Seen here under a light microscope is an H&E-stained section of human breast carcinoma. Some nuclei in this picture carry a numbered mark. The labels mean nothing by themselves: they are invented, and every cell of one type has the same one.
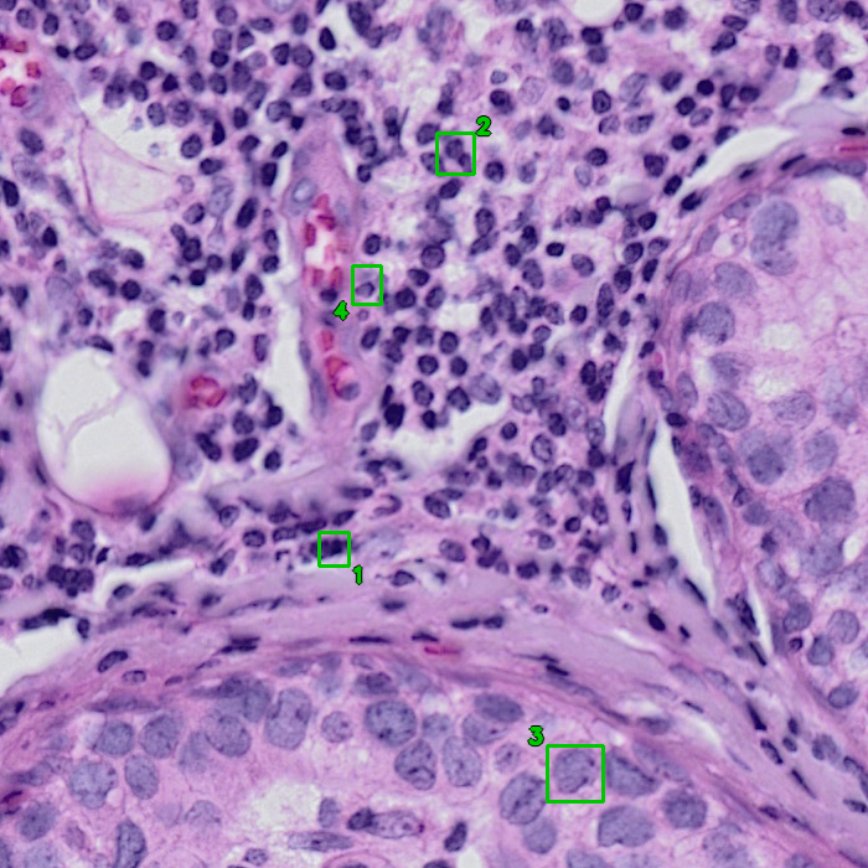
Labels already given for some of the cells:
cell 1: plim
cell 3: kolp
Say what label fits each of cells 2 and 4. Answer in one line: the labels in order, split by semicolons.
plim; plim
